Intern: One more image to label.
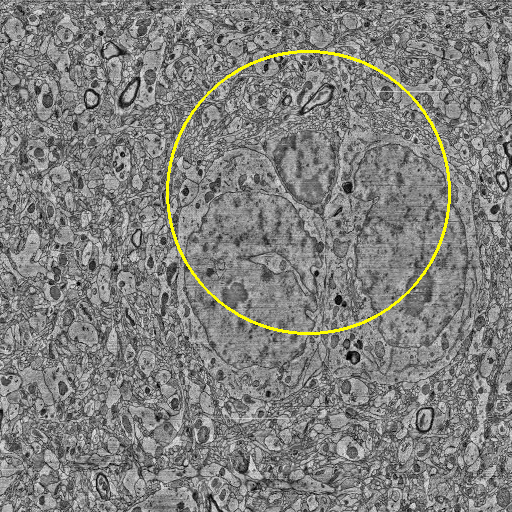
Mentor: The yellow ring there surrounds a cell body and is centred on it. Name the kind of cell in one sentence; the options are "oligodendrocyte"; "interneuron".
The ring marks the cell body of an oligodendrocyte.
